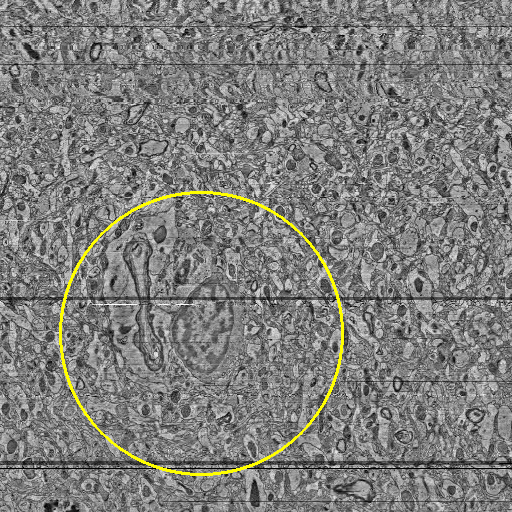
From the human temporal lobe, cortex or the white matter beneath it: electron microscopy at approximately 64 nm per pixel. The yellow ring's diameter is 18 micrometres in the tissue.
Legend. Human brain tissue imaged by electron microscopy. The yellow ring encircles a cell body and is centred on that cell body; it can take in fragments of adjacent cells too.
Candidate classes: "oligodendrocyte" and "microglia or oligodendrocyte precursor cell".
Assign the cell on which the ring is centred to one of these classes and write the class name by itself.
oligodendrocyte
